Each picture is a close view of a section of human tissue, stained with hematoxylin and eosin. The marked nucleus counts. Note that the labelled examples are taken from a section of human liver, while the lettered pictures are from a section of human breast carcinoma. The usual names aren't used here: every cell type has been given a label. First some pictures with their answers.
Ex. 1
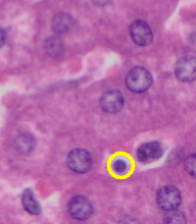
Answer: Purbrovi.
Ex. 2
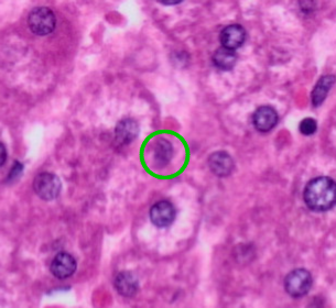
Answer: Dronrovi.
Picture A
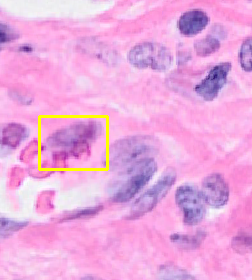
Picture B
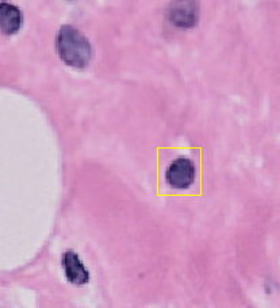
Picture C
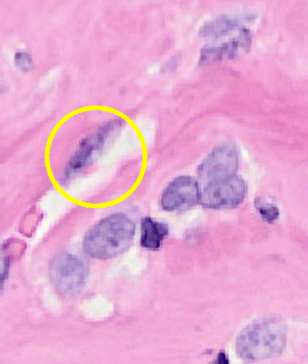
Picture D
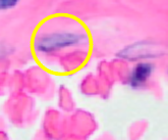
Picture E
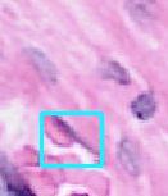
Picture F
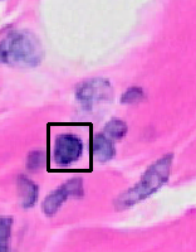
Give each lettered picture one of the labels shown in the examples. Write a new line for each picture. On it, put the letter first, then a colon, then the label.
A: Dronrovi.
B: Purbrovi.
C: Dronrovi.
D: Dronrovi.
E: Dronrovi.
F: Purbrovi.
